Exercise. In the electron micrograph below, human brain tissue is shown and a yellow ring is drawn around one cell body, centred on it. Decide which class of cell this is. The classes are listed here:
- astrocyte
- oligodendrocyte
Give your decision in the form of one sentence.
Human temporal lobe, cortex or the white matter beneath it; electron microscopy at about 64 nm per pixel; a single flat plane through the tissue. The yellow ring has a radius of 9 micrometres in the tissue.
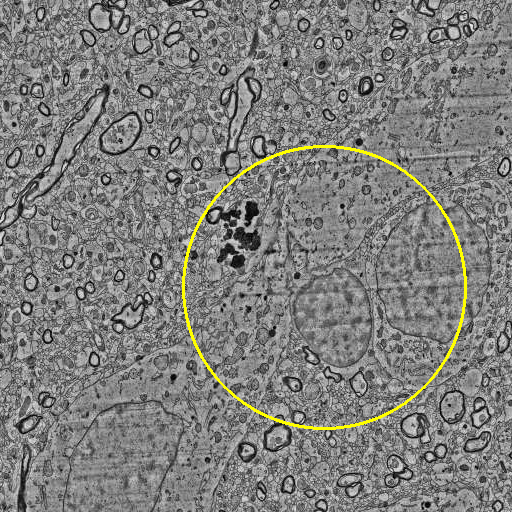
The cell body marked by the ring belongs to an oligodendrocyte.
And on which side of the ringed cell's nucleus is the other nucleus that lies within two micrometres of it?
The other nucleus appears to the upper right of it.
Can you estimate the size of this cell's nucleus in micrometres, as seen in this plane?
In this plane, roughly 6 by 5 micrometres.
